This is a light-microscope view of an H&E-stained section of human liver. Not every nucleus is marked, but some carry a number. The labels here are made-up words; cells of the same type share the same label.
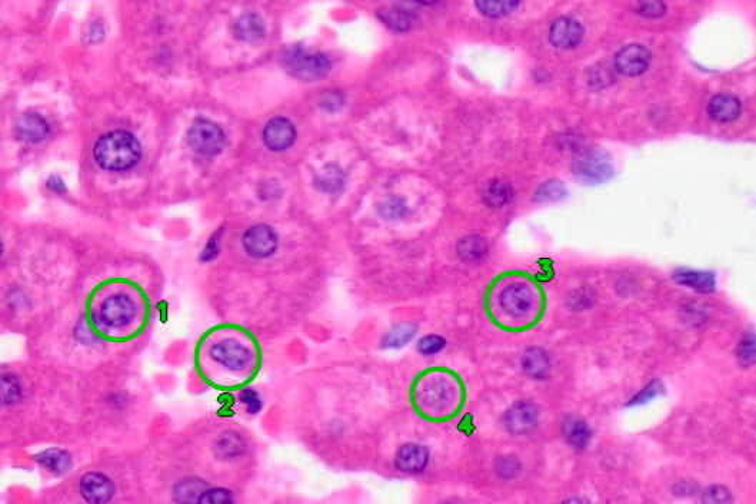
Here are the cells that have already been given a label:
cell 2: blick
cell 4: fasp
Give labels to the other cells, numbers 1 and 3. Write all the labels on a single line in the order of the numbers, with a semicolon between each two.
fasp; fasp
